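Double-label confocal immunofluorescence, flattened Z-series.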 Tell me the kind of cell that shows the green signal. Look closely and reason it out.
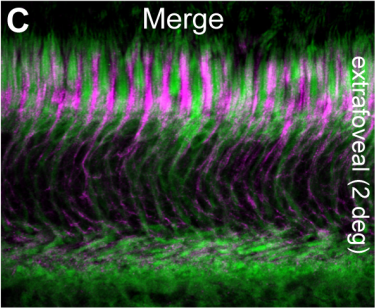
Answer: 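Cones photoreceptors. Green elongated cells stand in a regular palisade across the top of the retina. Thin green fibers run down from them to a band of green terminals at the bottom.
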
